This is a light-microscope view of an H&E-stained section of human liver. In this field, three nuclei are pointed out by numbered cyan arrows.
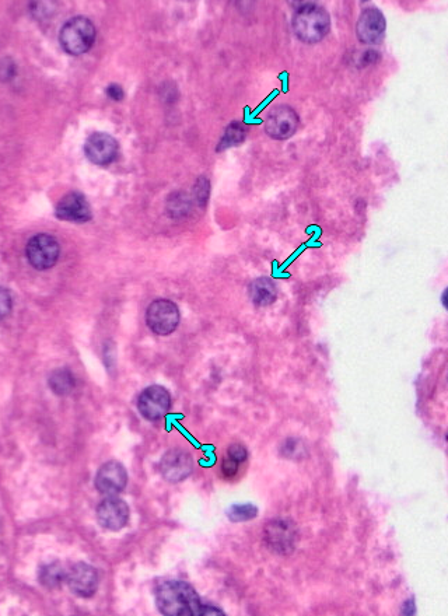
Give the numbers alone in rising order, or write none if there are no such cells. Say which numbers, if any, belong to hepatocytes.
2, 3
